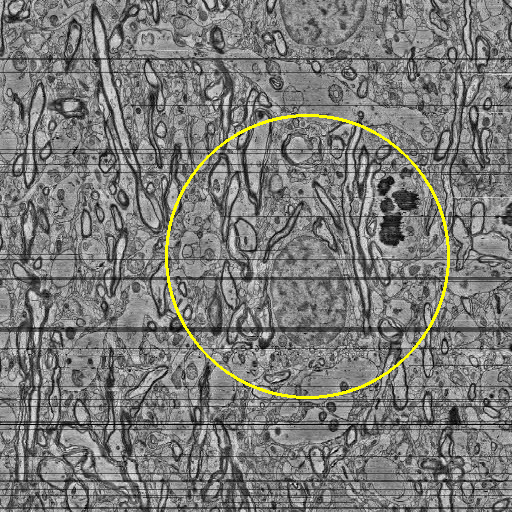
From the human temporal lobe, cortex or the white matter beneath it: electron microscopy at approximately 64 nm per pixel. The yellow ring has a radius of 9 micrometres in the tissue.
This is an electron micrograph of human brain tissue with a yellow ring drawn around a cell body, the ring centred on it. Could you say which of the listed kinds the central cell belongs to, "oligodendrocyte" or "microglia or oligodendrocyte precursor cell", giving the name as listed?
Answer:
oligodendrocyte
